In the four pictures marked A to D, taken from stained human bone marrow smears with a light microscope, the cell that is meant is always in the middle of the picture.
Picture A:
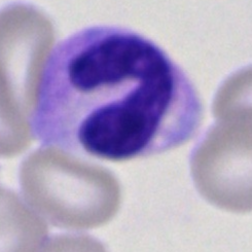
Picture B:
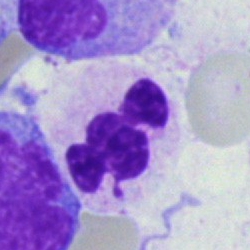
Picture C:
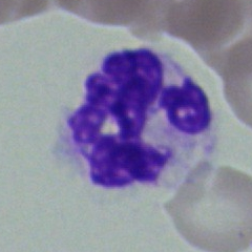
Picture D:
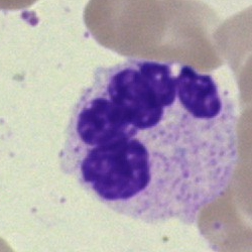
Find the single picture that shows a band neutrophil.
A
